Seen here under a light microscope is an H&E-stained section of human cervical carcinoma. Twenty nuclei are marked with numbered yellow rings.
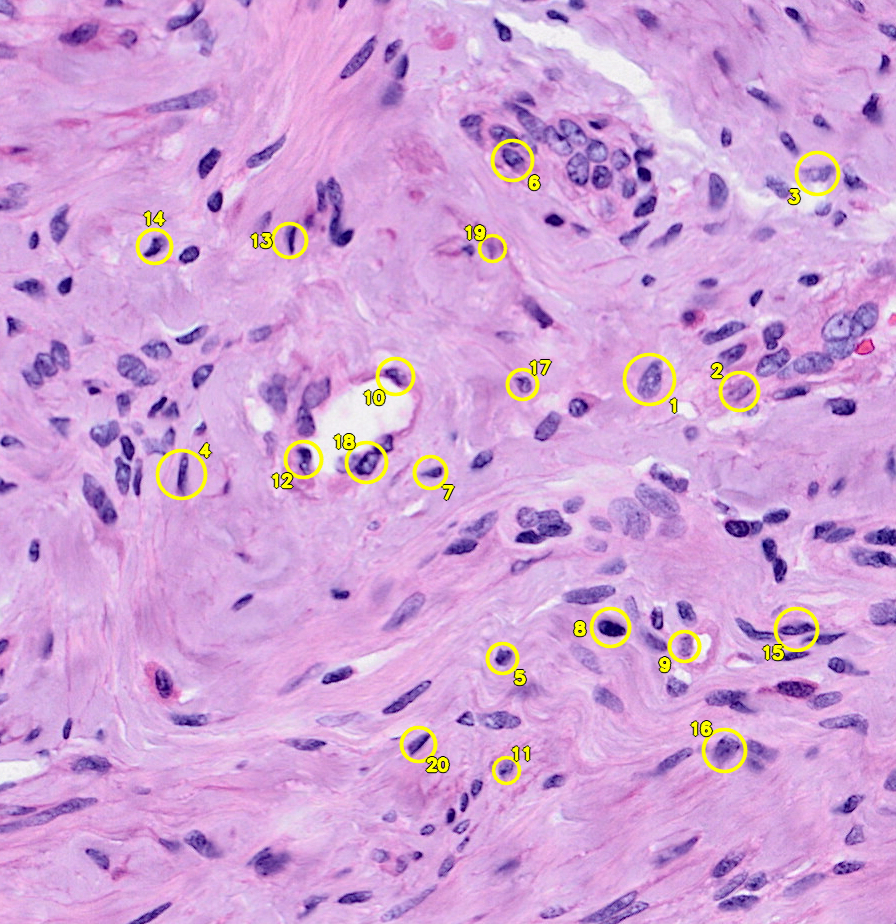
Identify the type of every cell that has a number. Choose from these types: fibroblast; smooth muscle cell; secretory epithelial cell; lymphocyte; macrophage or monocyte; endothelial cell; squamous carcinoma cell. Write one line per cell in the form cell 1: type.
cell 1: fibroblast
cell 2: endothelial cell
cell 3: fibroblast
cell 4: fibroblast
cell 5: fibroblast
cell 6: endothelial cell
cell 7: fibroblast
cell 8: lymphocyte
cell 9: endothelial cell
cell 10: endothelial cell
cell 11: smooth muscle cell
cell 12: endothelial cell
cell 13: fibroblast
cell 14: fibroblast
cell 15: fibroblast
cell 16: fibroblast
cell 17: fibroblast
cell 18: endothelial cell
cell 19: smooth muscle cell
cell 20: fibroblast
